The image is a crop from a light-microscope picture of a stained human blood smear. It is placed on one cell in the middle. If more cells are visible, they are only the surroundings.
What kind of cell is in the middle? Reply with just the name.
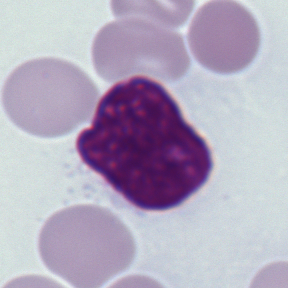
smudge cell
